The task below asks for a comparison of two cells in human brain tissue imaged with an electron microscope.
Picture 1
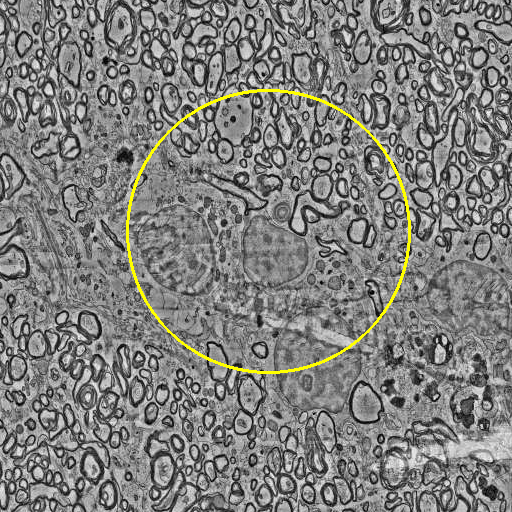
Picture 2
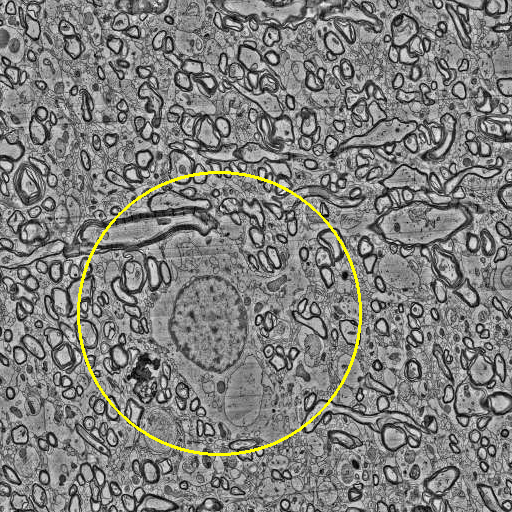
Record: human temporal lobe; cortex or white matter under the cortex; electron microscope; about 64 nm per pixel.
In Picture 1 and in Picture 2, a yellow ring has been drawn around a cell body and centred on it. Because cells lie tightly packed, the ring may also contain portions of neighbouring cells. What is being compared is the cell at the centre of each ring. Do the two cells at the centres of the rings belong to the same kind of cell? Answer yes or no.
no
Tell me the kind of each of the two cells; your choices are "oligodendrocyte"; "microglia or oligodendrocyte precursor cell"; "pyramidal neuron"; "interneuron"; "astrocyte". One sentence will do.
The ringed cell is an oligodendrocyte in the first picture and an astrocyte in the second picture.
